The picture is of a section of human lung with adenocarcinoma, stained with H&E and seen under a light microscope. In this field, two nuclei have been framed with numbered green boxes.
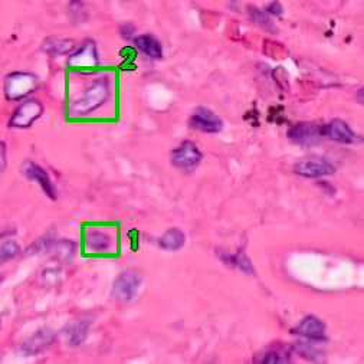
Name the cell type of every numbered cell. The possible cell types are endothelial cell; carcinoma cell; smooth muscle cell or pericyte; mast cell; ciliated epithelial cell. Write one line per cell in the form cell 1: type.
cell 1: mast cell
cell 2: endothelial cell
